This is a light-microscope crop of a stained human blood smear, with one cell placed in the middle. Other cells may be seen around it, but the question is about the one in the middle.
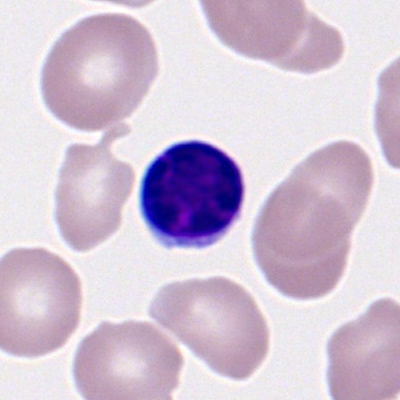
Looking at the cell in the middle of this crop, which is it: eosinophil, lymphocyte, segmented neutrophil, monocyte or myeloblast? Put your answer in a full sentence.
Located at the centre of the crop is a lymphocyte.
